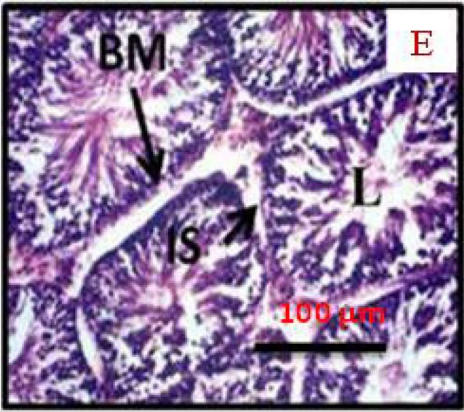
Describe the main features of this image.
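This is a section of testis with several seminiferous tubules cut across, each lined by layers of germ cells with dark purple nuclei. The tubules are bounded by a thin membrane, and pink filamentous material lies in their central lumens. White gaps separate the tubules from one another and appear between cells within the tubule walls. The cell layers look looser than a tightly packed tubule would.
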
